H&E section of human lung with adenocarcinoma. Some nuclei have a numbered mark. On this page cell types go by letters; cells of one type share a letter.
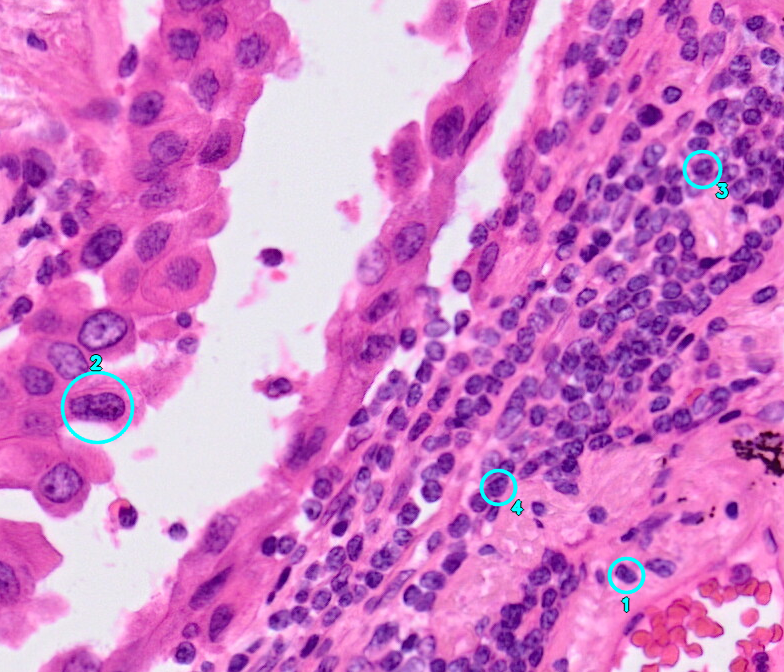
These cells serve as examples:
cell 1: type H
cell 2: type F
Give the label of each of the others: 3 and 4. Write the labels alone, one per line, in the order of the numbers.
type H
type H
